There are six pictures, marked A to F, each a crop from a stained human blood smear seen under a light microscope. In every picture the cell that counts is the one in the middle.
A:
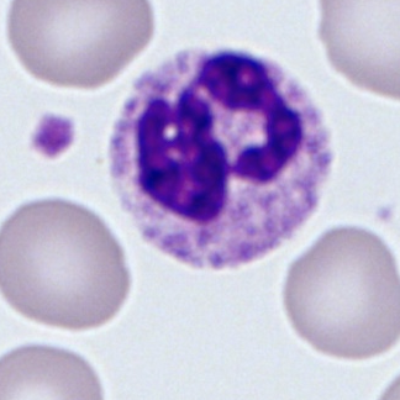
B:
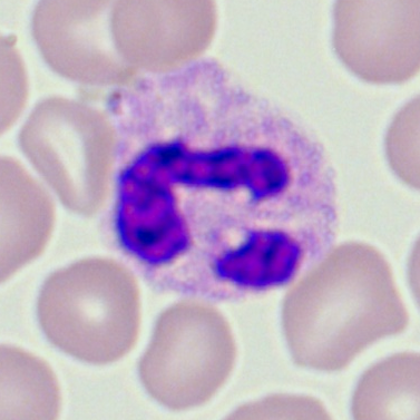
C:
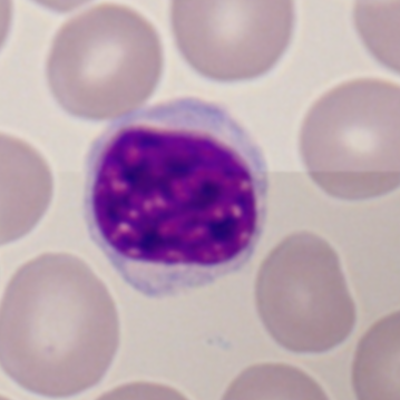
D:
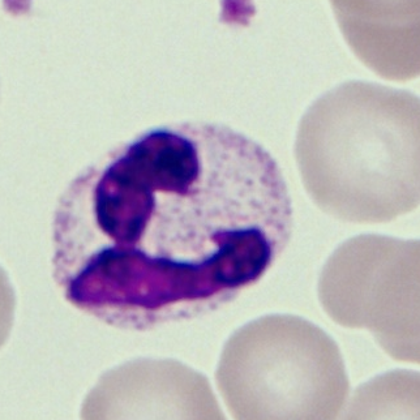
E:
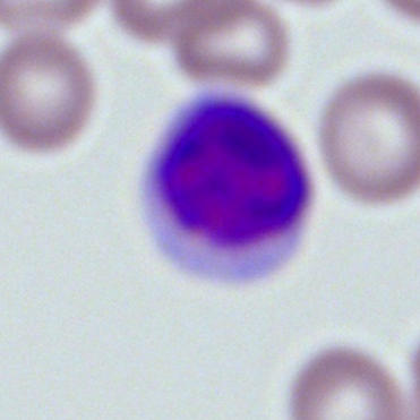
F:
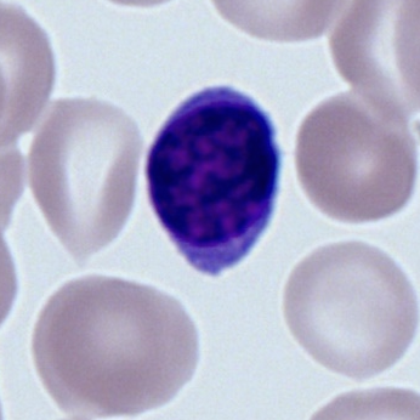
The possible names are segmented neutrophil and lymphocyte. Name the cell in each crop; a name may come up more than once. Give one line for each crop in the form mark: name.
A: segmented neutrophil
B: segmented neutrophil
C: lymphocyte
D: segmented neutrophil
E: lymphocyte
F: lymphocyte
